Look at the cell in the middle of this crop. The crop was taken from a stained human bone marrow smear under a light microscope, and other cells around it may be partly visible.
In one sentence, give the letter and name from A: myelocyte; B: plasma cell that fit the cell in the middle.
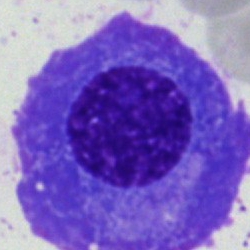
Option B is the right one, for the cell in the middle is a plasma cell.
